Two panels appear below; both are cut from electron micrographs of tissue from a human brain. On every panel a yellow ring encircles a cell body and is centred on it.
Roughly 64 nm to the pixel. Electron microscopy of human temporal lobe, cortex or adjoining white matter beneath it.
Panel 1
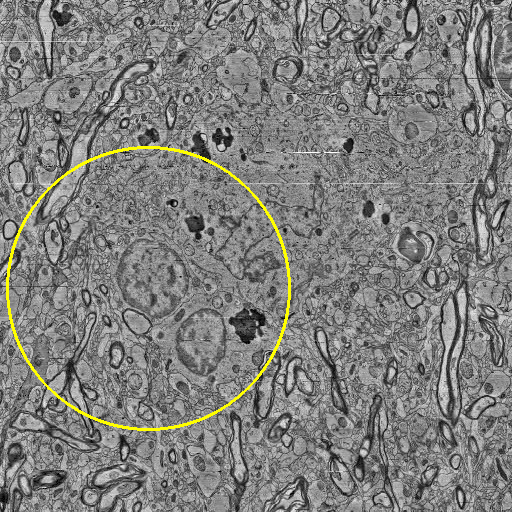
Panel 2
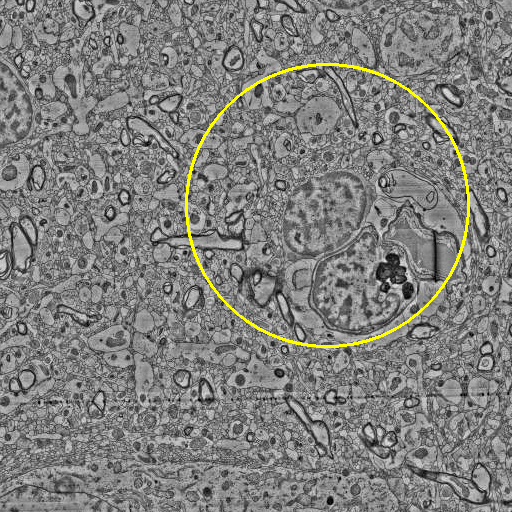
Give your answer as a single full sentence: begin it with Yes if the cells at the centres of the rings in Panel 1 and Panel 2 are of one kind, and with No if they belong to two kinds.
Yes, the cells in the middle of the rings in Panels 1 and 2 are of one kind.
